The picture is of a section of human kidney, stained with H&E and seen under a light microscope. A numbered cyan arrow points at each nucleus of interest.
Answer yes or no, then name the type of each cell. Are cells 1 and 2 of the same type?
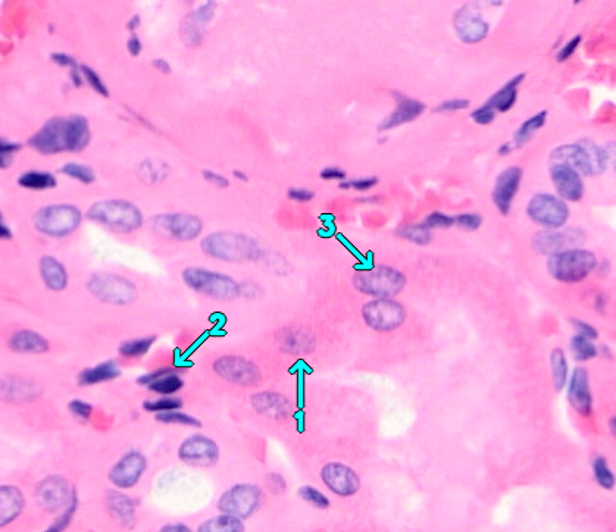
No, cell 1 is a proximal tubule cell and cell 2 is an endothelial cell.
